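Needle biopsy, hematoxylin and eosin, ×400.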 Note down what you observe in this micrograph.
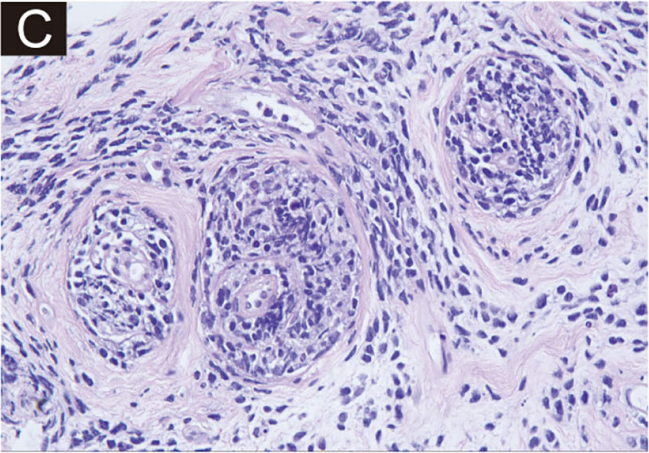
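Atypical tumour cells gather in small round clusters that form target-like rings around small blood vessels, whose lumens are seen at the centre of the nests. Each cluster is densely packed with cells bearing dark purple, irregular nuclei and scant pale cytoplasm. Thin pink fibrous bands encircle the clusters concentrically. Between the nests, more elongated and scattered cells lie in a pale pink stroma.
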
